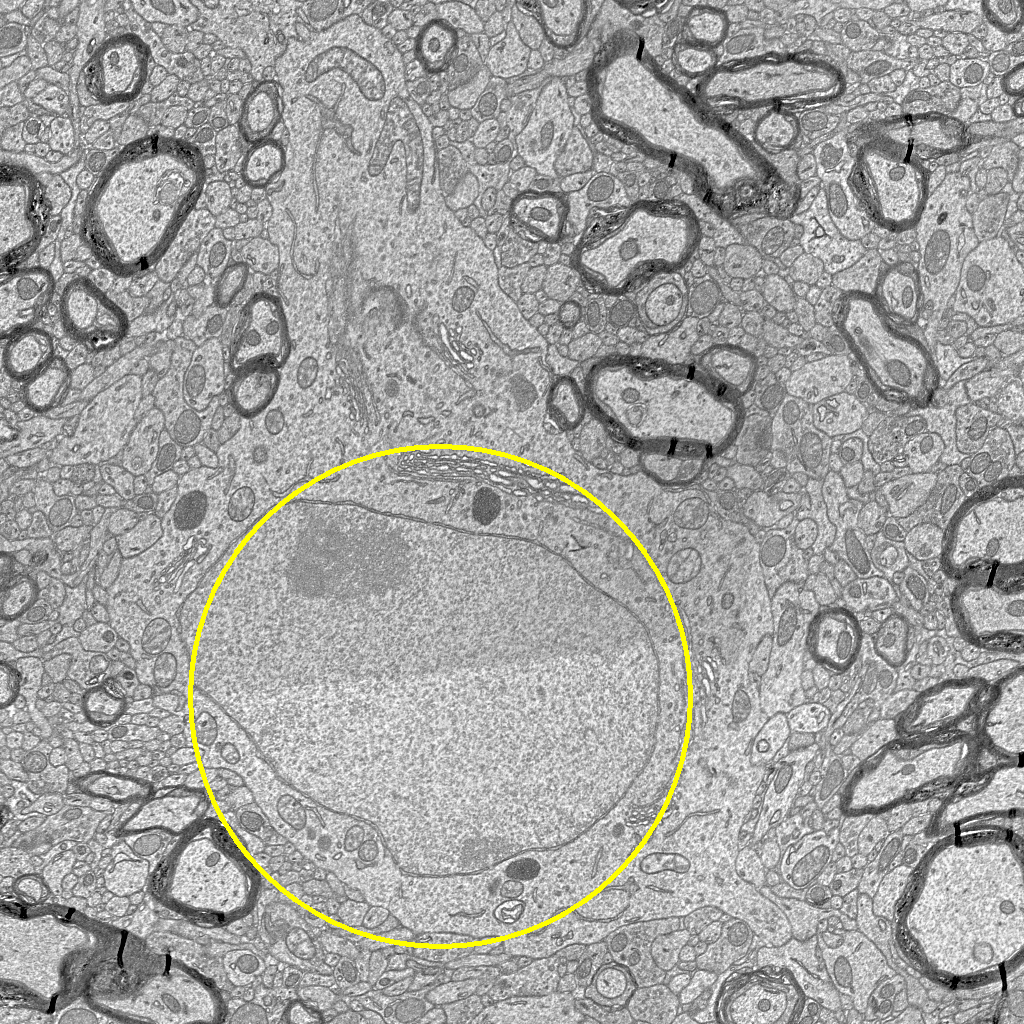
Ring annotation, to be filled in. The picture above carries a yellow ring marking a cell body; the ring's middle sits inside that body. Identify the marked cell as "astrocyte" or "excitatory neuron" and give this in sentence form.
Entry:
The cell at the middle of the ring is an excitatory neuron.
